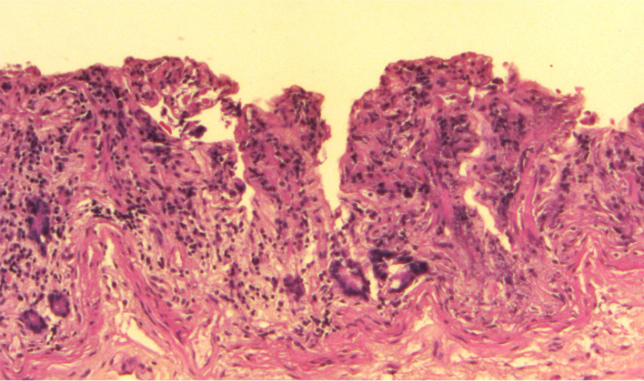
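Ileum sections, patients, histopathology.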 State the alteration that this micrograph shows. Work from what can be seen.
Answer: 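The tops of the villi are ragged and lack a continuous surface epithelium. The mucosal surface is broken and irregular rather than lined by a smooth cell layer.
Ulceration at the villous tips.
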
